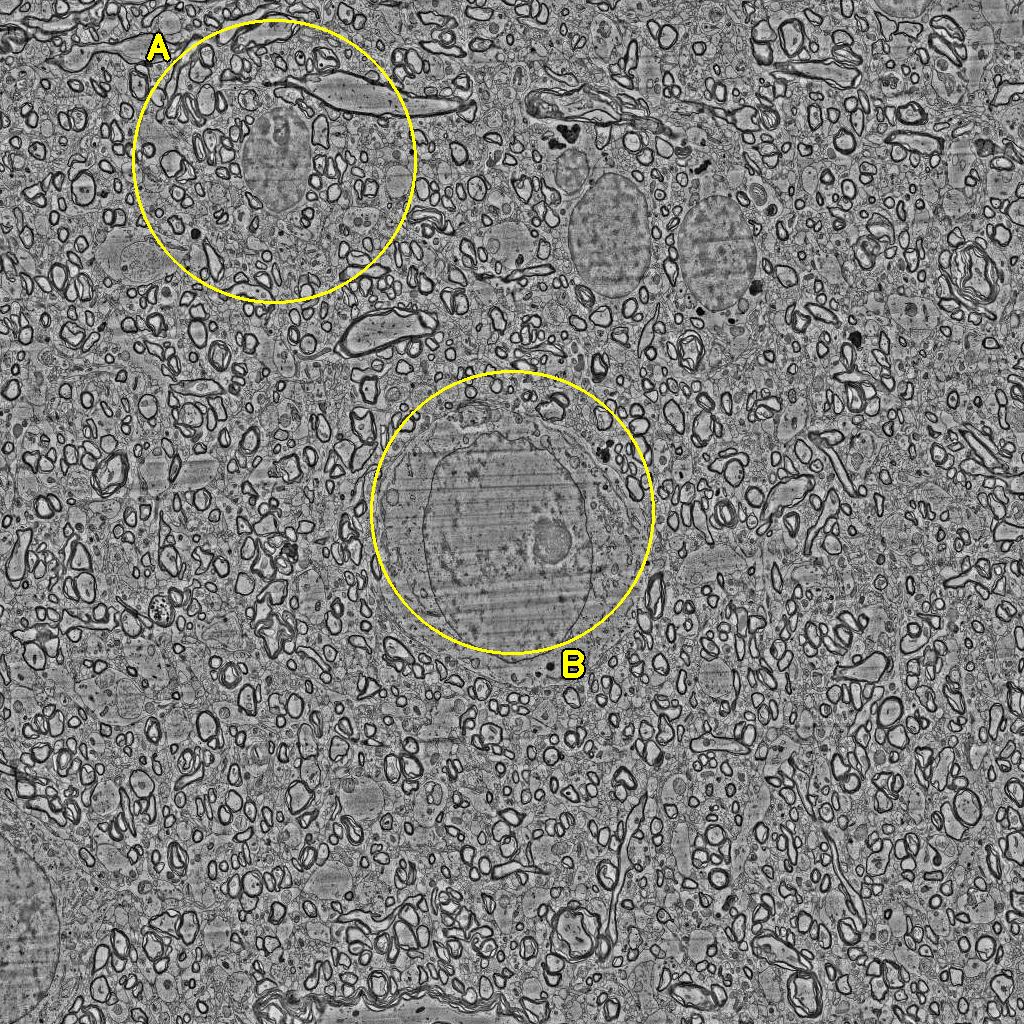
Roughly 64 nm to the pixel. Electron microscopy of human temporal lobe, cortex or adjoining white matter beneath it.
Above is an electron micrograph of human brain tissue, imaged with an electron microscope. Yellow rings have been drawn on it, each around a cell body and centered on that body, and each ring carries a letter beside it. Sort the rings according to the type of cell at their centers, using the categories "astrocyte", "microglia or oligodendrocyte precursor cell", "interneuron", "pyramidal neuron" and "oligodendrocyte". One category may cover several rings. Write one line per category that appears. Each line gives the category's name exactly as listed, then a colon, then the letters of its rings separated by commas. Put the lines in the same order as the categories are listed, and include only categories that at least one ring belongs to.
pyramidal neuron: B
oligodendrocyte: A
